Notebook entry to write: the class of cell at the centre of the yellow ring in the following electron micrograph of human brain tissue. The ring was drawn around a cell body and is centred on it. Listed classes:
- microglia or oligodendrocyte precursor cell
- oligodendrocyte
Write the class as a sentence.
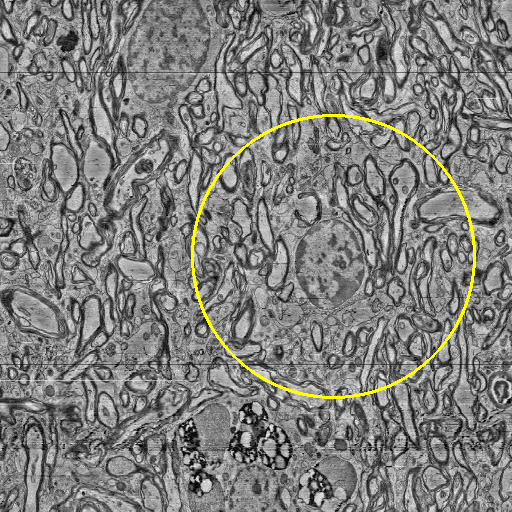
The yellow ring sits on a microglial cell or oligodendrocyte precursor cell.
